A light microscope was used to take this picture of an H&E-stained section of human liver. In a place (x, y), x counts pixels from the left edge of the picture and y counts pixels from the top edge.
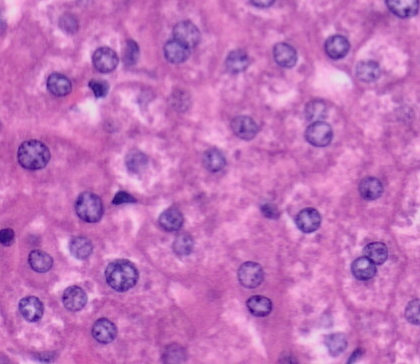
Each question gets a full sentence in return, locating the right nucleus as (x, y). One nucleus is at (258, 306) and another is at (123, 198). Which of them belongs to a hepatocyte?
It is the nucleus at (258, 306) that belongs to a hepatocyte.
